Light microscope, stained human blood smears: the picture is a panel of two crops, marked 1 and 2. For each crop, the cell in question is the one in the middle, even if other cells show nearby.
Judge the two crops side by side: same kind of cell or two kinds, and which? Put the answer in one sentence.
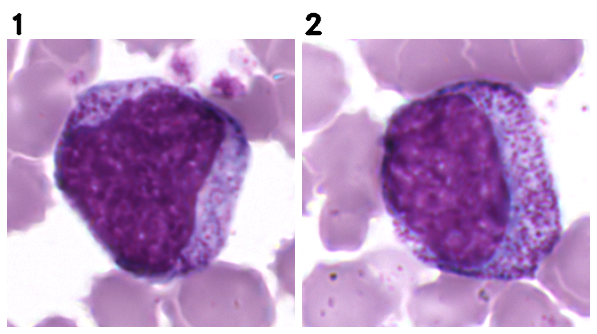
Yes, the cells in both crops are promyelocytes.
